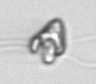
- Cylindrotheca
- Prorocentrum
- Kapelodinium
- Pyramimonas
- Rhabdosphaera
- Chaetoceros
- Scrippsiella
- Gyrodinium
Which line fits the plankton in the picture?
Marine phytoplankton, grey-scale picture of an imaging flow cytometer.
Pyramimonas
